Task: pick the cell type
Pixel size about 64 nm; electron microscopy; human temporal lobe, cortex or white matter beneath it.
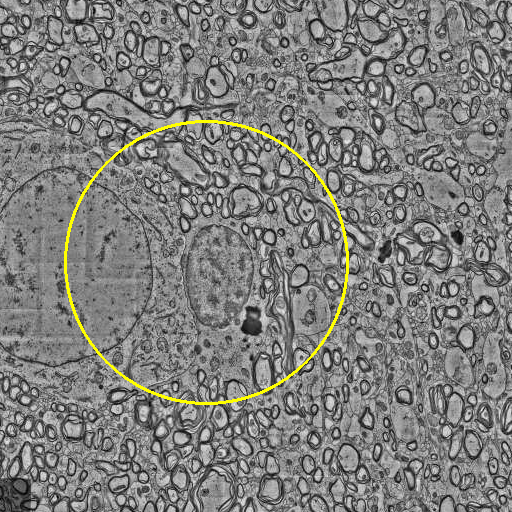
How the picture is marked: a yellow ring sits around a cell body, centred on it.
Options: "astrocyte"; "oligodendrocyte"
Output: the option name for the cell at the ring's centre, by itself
oligodendrocyte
